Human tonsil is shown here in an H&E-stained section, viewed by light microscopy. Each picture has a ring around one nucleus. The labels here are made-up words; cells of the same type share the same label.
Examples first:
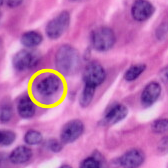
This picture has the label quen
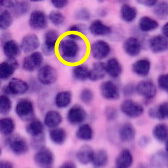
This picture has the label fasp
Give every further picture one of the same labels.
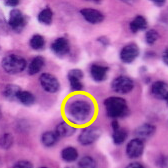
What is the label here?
quen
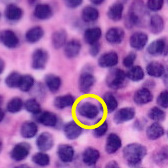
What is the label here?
fasp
